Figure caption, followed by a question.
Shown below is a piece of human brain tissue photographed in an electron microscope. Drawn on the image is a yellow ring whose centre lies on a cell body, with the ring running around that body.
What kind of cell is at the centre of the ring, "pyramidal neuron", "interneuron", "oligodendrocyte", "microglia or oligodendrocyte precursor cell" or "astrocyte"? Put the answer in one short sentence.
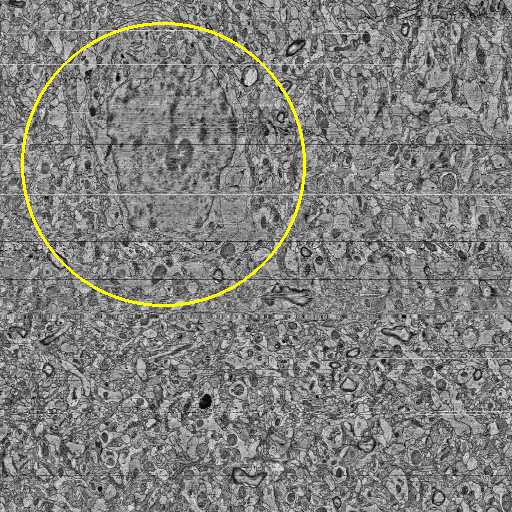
The ring marks the cell body of an interneuron.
